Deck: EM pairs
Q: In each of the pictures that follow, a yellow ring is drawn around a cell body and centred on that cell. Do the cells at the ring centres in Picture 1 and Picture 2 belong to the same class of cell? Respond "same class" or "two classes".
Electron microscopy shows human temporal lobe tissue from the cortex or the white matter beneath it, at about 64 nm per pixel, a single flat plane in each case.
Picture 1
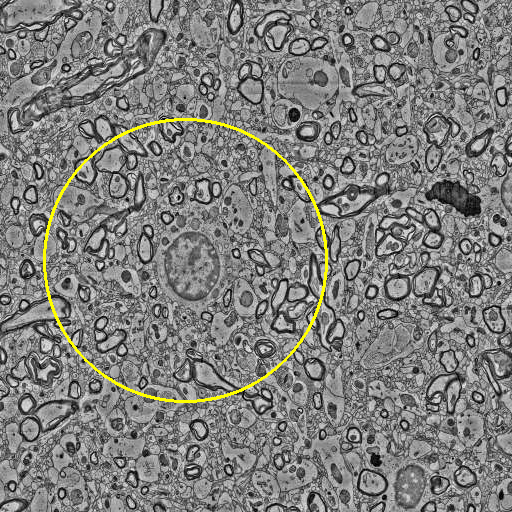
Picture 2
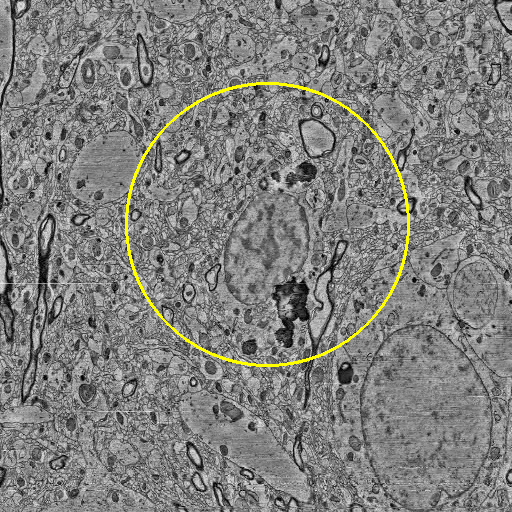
same class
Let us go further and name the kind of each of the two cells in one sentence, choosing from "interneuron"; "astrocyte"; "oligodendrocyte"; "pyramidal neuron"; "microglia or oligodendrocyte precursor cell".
Both cells are the same kind, each one being an oligodendrocyte.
